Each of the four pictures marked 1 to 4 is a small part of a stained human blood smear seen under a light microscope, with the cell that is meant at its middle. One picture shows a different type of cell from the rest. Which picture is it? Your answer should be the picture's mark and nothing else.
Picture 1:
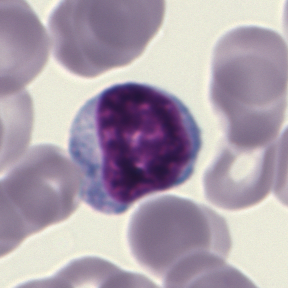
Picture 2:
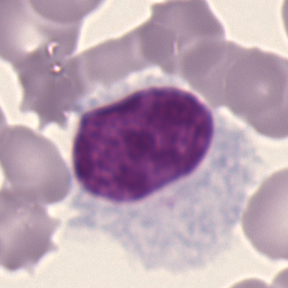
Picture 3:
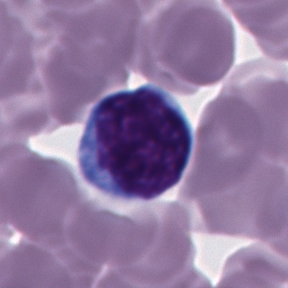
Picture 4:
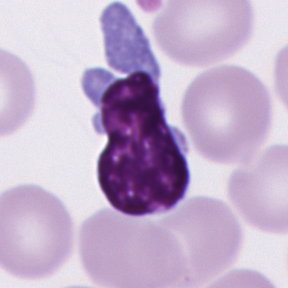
2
